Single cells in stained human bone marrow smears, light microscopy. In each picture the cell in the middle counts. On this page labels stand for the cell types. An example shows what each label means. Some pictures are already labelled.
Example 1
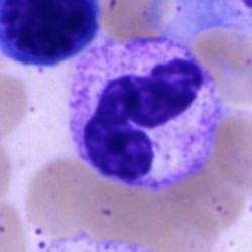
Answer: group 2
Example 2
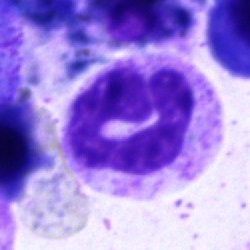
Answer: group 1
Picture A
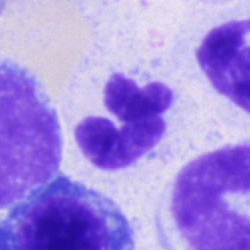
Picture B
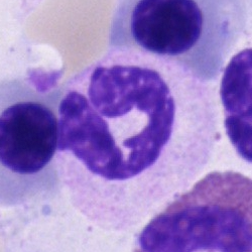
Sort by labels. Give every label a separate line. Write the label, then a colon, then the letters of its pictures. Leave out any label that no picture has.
group 2: A, B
